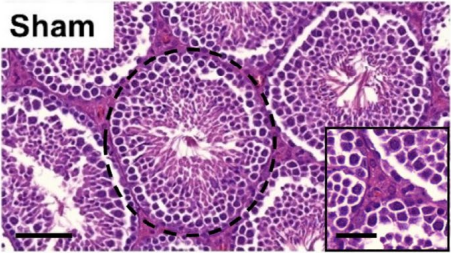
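This section of testis shows seminiferous tubules cut in cross-section, each lined by a thick, many-layered germinal epithelium. The epithelium is packed with cells with round, dark purple nuclei arranged in concentric layers from the thin tubule wall toward the centre. The central lumen contains pale, wispy tails pointing inward. Between the closely packed tubules lie small angular spaces with pink-staining interstitial tissue, shown enlarged in the inset.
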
